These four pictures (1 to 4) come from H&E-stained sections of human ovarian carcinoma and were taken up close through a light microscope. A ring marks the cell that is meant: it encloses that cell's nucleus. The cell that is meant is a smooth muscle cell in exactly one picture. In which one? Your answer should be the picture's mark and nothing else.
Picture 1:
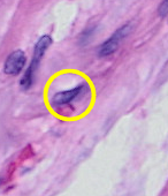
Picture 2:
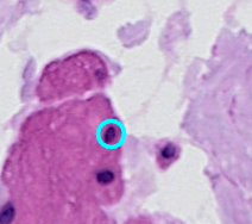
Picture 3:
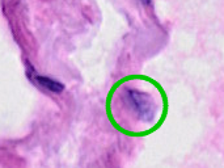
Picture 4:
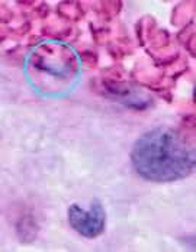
2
